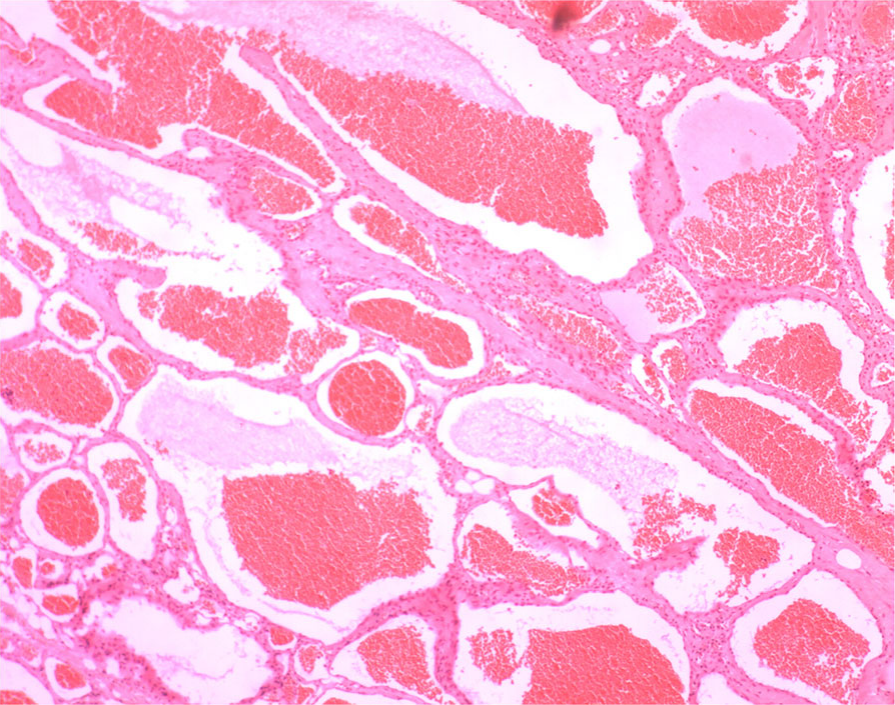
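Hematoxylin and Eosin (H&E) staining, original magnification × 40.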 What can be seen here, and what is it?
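This tissue is made up almost entirely of many large, irregular, dilated vascular spaces packed with blood. The lumens vary greatly in shape and size, and most are filled with masses of bright red blood cells, some with paler pink fluid alongside. Each space is lined by a thin layer of flattened cells with small dark nuclei, without a thick muscular wall. Between the spaces run thin pink fibrous septa carrying scattered small nuclei.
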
